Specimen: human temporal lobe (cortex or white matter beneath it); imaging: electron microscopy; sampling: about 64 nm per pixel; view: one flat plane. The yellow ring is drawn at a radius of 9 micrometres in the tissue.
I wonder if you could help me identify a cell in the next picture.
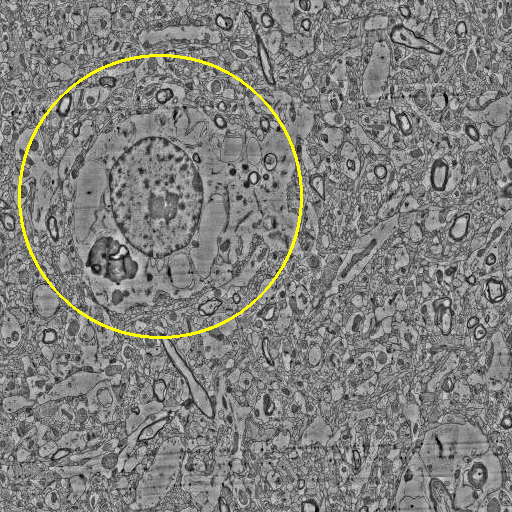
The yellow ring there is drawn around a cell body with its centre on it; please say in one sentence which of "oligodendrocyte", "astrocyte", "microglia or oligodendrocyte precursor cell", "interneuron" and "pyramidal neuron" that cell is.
The yellow ring is centred on an astrocyte.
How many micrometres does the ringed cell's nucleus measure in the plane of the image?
In this plane the nucleus spans approximately 8 by 6 micrometers.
